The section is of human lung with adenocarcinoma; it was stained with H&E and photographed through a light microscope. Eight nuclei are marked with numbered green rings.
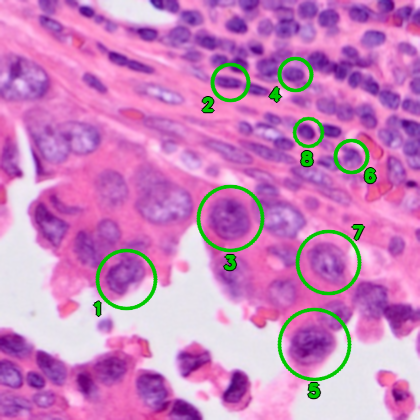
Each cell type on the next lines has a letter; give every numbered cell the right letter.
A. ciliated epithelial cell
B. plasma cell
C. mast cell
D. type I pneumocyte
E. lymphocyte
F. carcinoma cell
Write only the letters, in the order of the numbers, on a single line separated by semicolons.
F; E; F; E; F; E; F; E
